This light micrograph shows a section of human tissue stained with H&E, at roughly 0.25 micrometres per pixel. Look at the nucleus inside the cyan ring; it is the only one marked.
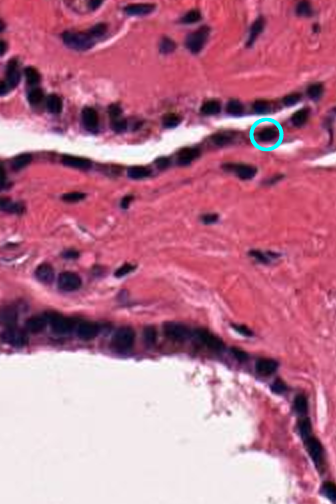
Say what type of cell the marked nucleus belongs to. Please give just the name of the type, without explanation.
thyroid follicular cell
